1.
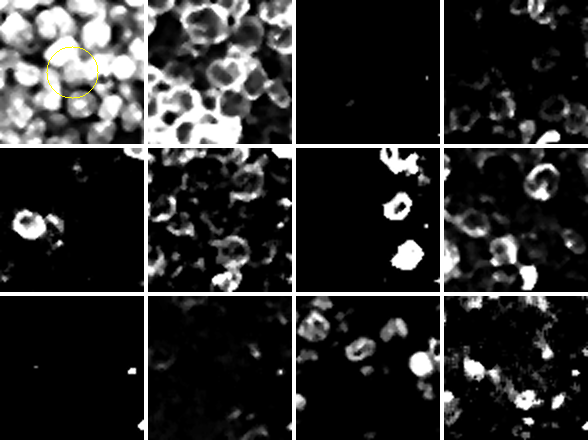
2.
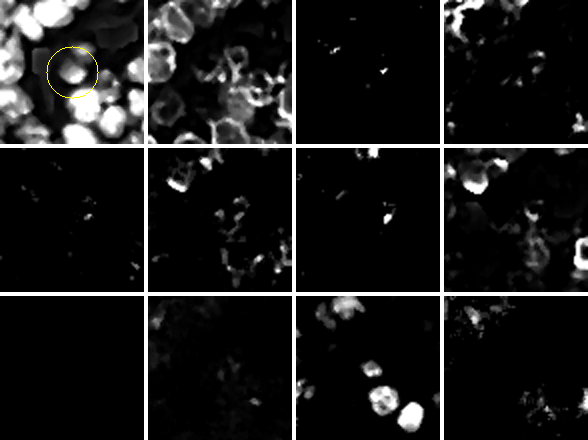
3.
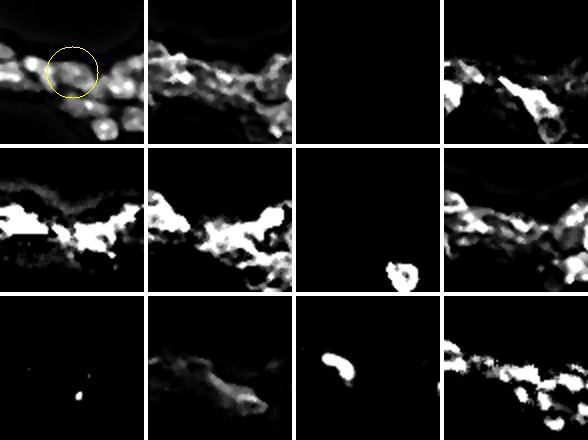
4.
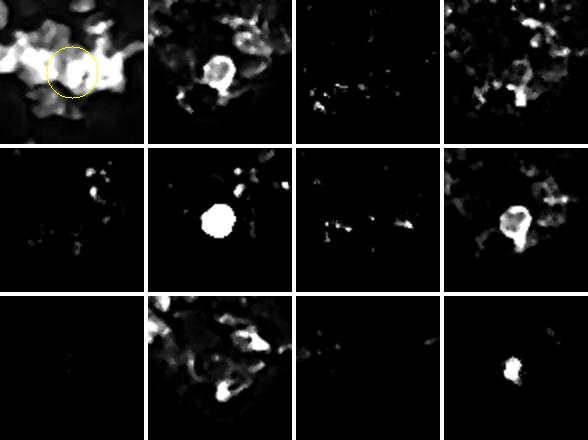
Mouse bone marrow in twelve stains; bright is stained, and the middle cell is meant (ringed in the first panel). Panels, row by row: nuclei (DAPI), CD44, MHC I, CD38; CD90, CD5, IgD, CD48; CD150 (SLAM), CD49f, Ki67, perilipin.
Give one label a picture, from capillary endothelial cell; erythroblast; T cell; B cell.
1: erythroblast
2: erythroblast
3: capillary endothelial cell
4: T cell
